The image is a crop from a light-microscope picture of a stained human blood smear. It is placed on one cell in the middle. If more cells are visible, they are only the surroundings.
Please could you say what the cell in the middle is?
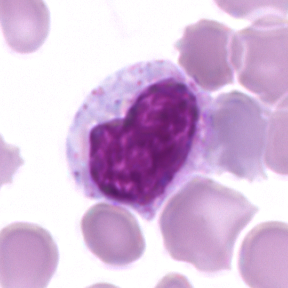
metamyelocyte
